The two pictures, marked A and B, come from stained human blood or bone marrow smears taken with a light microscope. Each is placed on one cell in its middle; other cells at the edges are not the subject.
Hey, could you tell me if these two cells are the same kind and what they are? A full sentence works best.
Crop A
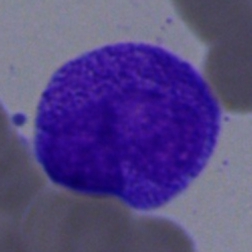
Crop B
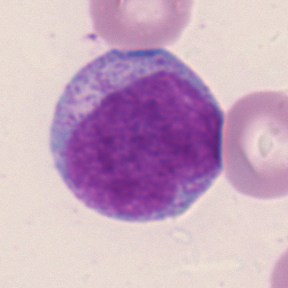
Yes, that is right, both crops show promyelocytes.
